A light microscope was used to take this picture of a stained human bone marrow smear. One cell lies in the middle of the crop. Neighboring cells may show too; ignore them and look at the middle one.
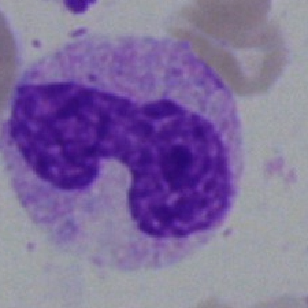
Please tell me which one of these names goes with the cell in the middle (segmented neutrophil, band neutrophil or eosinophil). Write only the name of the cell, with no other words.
band neutrophil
